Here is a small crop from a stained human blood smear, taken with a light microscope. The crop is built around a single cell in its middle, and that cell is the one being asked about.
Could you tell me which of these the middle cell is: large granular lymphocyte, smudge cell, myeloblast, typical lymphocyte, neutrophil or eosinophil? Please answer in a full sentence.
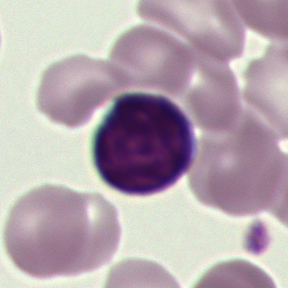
The cell that lies at the centre of the crop is a typical lymphocyte.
